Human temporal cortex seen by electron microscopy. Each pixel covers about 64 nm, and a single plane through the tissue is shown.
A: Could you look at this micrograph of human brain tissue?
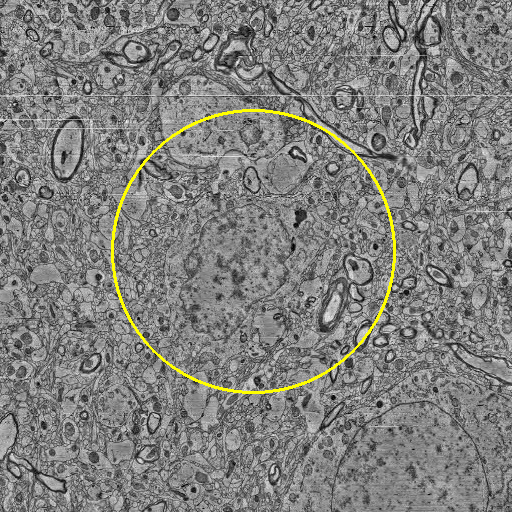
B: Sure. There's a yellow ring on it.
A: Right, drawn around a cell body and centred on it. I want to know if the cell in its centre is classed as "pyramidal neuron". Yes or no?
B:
no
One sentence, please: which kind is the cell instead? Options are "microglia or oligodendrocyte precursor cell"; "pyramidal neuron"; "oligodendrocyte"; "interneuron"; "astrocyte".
The cell enclosed by the ring is an interneuron.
